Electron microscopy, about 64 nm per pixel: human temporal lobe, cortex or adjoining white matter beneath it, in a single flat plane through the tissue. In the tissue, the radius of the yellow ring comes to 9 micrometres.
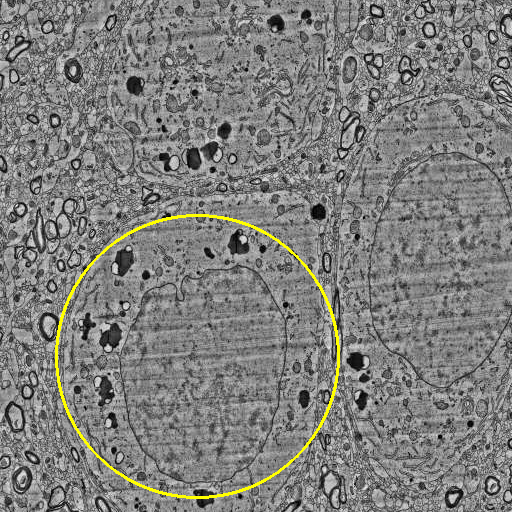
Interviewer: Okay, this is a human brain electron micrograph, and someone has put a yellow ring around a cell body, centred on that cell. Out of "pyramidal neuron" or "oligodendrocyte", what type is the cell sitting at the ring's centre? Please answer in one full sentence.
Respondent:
The cell at the centre of the yellow ring in this picture is a pyramidal neuron.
